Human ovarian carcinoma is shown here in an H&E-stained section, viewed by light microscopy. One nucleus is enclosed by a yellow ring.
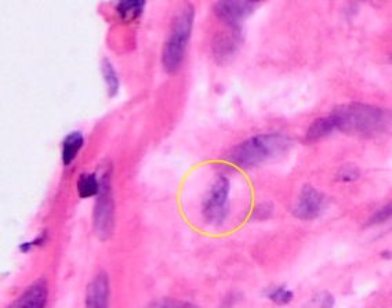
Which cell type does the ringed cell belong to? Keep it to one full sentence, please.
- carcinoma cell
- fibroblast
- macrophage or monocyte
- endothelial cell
As far as its identity is concerned, the ringed cell is a fibroblast.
